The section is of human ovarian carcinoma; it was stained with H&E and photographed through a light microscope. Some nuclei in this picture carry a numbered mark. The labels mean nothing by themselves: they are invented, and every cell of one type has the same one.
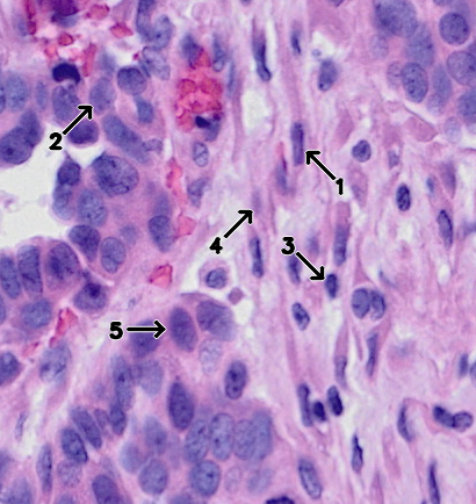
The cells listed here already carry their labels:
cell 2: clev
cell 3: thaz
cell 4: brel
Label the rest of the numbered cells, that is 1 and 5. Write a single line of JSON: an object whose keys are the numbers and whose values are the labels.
{"1": "brel", "5": "clev"}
